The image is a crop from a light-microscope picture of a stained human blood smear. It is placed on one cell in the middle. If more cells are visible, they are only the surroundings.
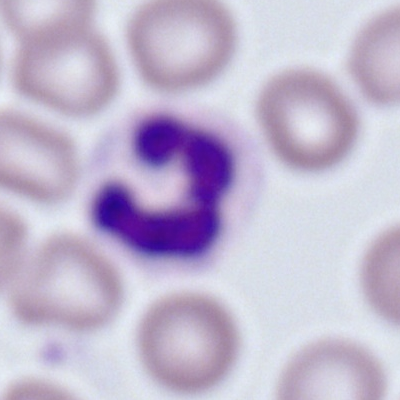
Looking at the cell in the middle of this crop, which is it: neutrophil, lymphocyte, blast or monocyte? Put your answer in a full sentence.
In short, the cell at the center is a neutrophil.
